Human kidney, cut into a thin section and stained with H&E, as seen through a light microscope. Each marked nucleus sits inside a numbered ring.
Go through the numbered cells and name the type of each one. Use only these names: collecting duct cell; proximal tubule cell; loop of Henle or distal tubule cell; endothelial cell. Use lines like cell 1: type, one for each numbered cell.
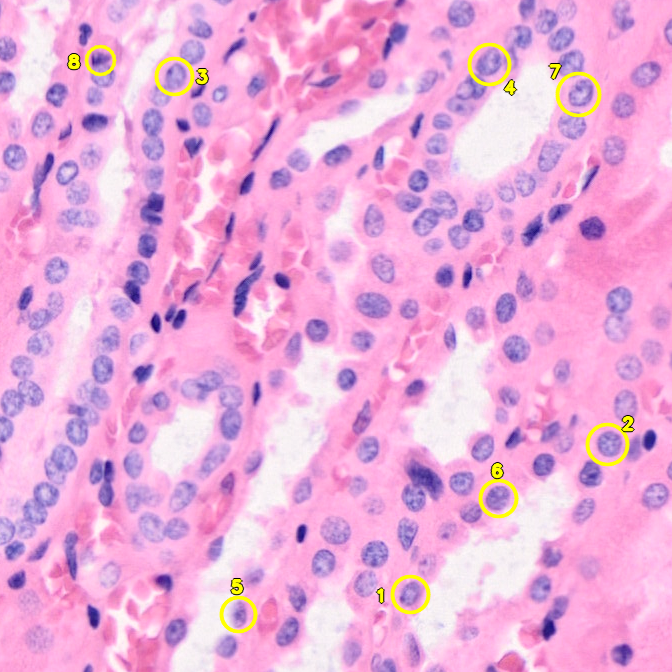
cell 1: loop of Henle or distal tubule cell
cell 2: loop of Henle or distal tubule cell
cell 3: collecting duct cell
cell 4: collecting duct cell
cell 5: loop of Henle or distal tubule cell
cell 6: loop of Henle or distal tubule cell
cell 7: collecting duct cell
cell 8: collecting duct cell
